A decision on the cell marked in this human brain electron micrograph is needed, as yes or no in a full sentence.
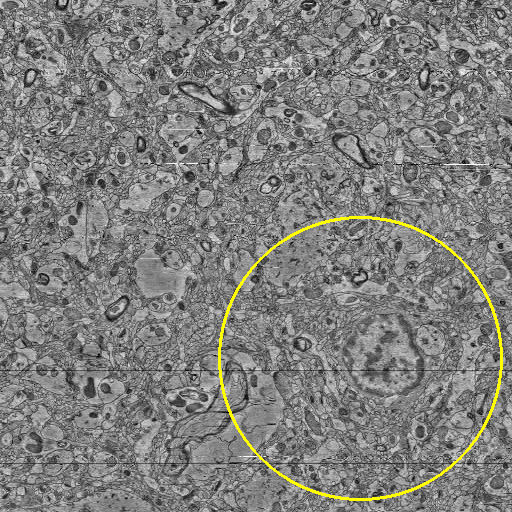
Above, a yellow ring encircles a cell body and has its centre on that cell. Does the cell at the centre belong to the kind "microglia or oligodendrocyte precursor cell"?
No, a different kind fits the cell at the centre of the ring in the picture.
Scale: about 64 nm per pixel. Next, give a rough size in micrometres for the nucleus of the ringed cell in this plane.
In this plane the nucleus measures roughly 5 micrometres across.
